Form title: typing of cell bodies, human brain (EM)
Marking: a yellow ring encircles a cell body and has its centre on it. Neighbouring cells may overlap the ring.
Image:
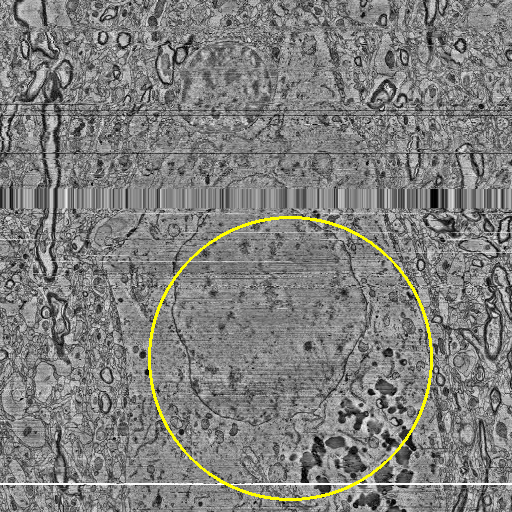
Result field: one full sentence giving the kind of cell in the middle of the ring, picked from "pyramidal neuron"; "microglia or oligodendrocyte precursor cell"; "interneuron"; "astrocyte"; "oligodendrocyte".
In the picture, the ring is centred on a pyramidal neuron, whose cell body it encircles.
